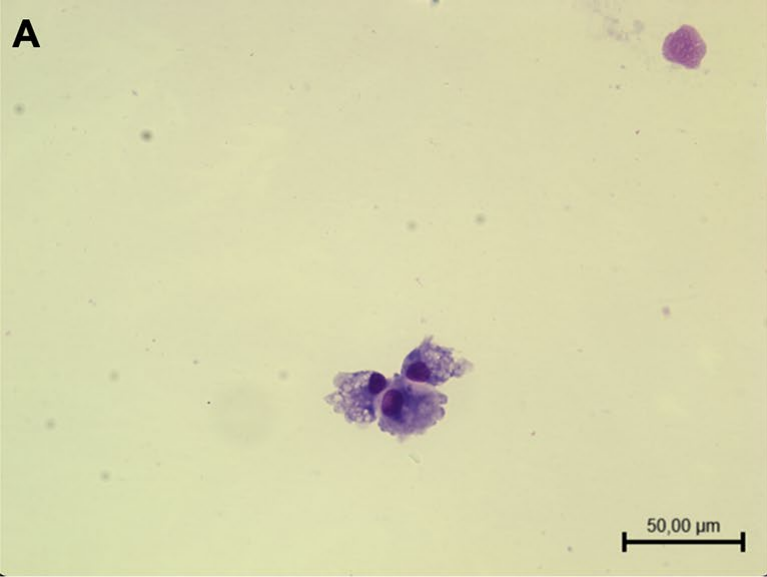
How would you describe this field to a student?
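On a nearly empty pale background lies a small group of three large cells with a single round to oval, dark purple nucleus each, set off to one side. Their cytoplasm is abundant, pale lilac and foamy, packed with many small clear vacuoles, and the cell edges are irregular and ragged, drawn out into short projections. A lone smaller pink cell with a scalloped outline sits at the top edge. The background carries only faint specks and little protein.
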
